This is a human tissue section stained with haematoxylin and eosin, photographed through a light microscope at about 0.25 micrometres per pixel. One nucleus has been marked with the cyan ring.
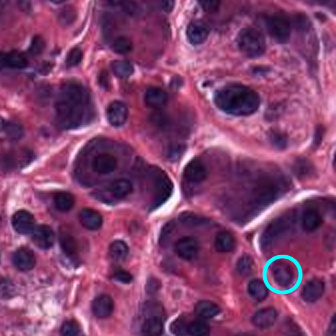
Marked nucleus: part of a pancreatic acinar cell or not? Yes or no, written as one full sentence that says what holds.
Yes, the marked nucleus represents the nucleus of a pancreatic acinar cell.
